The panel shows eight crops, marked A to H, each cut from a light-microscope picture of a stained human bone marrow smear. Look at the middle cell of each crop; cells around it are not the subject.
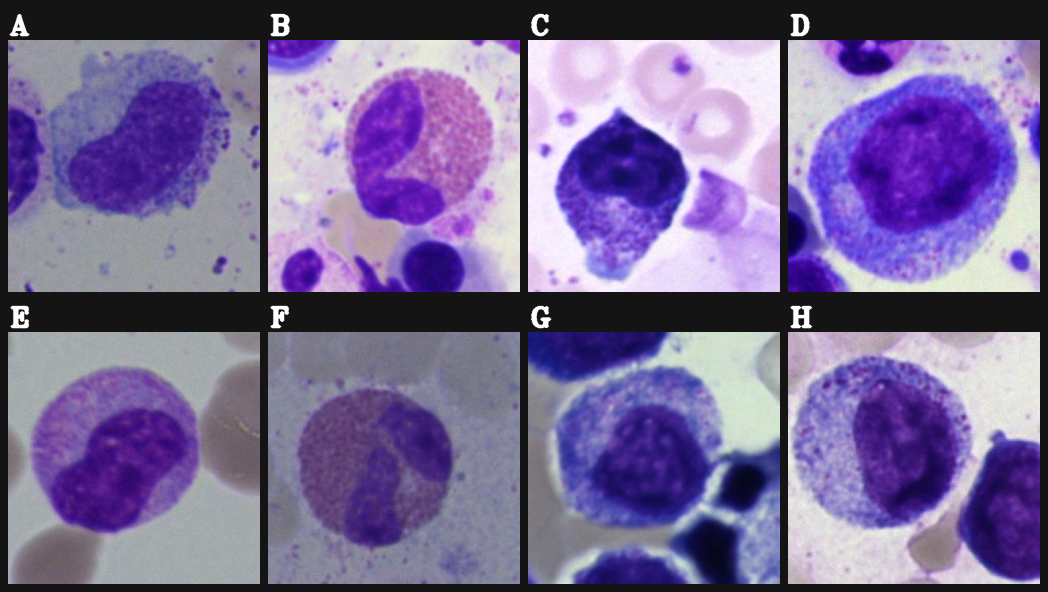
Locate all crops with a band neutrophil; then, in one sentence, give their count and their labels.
Zero is the tally, for none of the crops contains band neutrophils.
